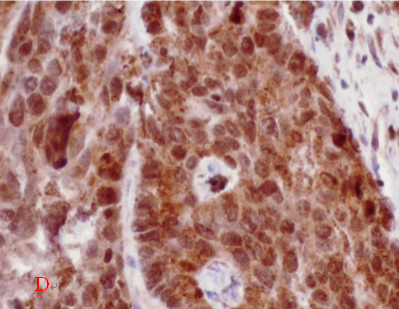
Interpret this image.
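A solid sheet of cancer cells is shown, with large, pleomorphic nuclei and little gland formation. Brown stain fills both the nuclei and the cytoplasm, so the whole sheet looks brown, while the stroma at the edge is pale.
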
